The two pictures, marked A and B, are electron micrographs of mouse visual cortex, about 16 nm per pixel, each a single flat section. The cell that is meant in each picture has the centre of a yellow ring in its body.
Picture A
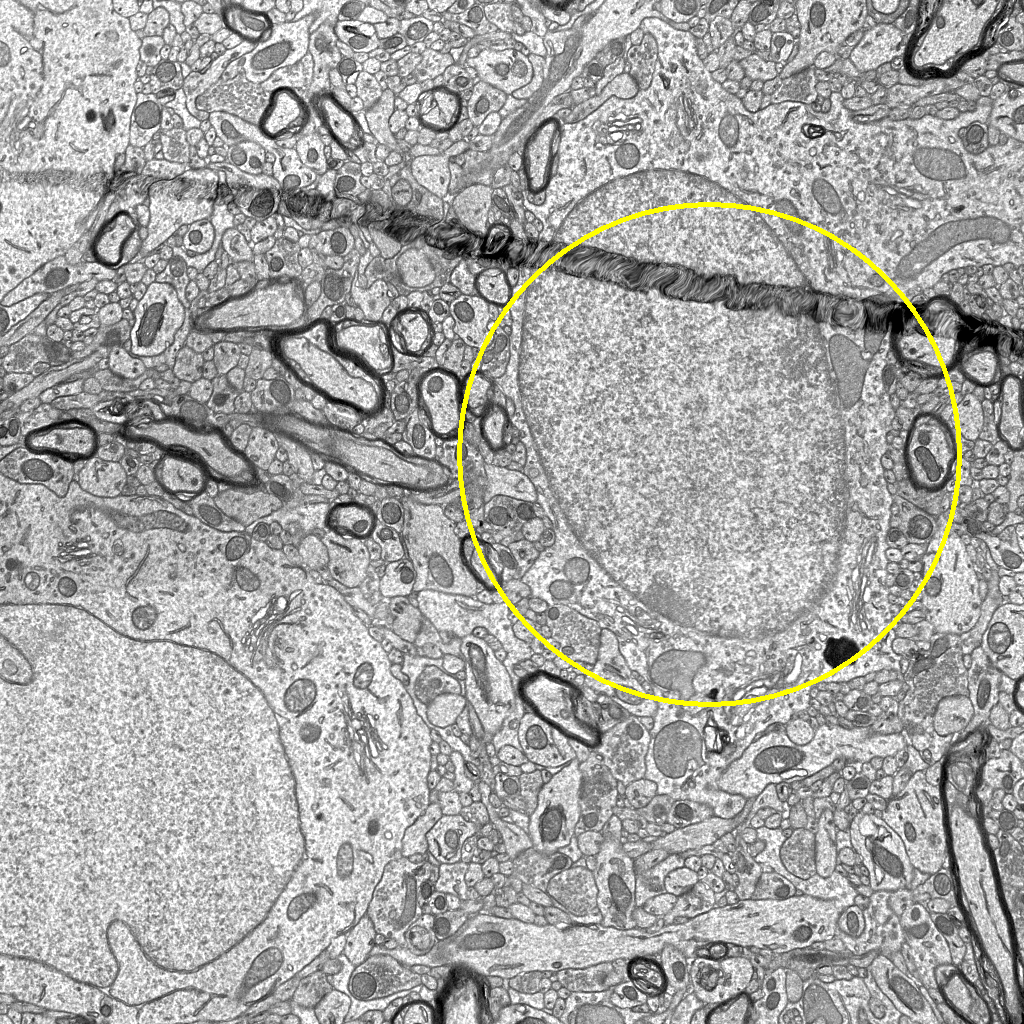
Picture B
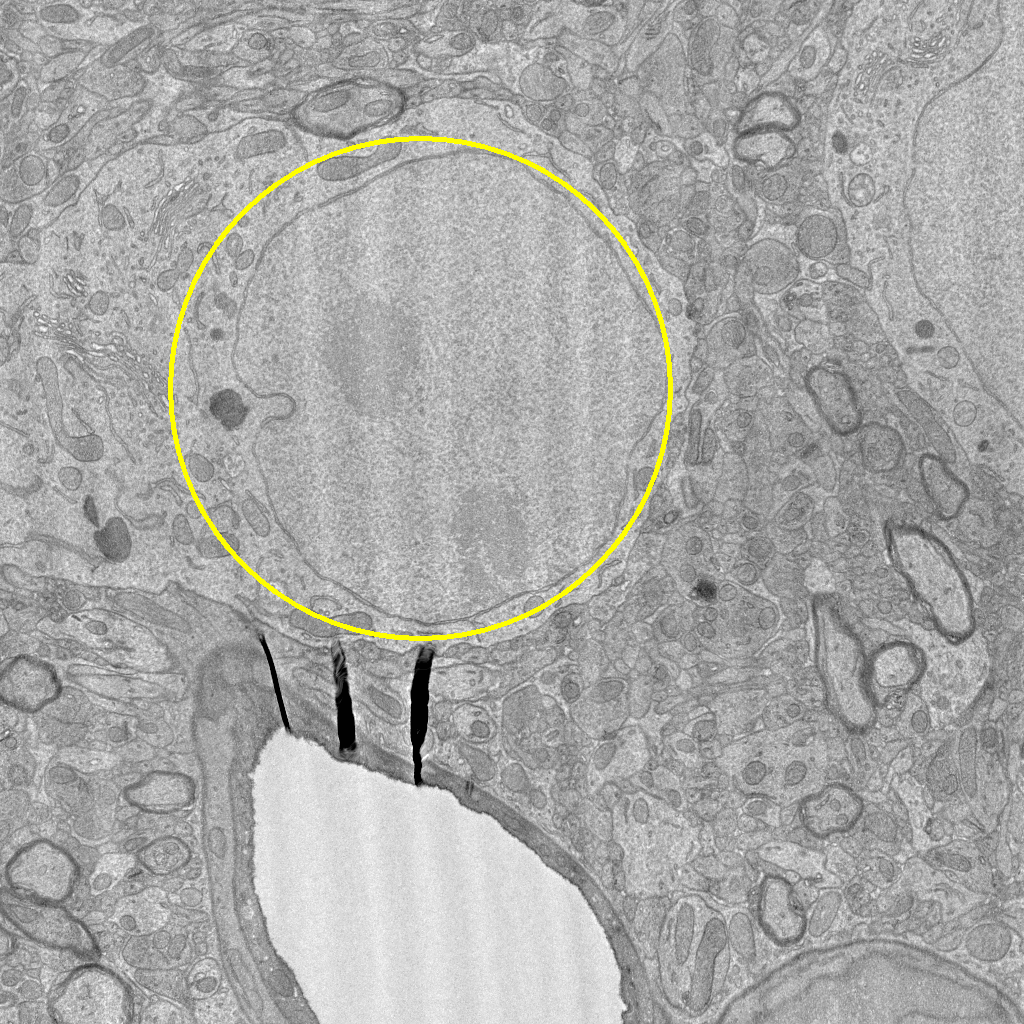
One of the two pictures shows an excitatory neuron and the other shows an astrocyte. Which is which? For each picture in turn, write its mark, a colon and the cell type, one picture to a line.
A: astrocyte
B: excitatory neuron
